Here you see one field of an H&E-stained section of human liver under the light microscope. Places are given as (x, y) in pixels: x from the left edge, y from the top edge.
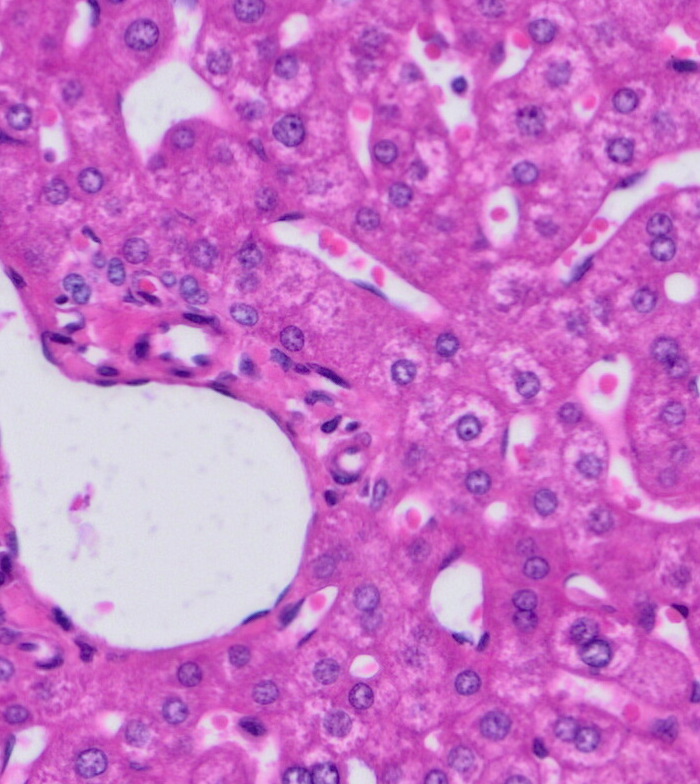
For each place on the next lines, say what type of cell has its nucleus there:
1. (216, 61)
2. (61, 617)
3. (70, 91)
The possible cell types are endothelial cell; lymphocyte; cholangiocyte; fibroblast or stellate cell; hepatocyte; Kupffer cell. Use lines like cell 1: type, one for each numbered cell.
cell 1: hepatocyte
cell 2: fibroblast or stellate cell
cell 3: hepatocyte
